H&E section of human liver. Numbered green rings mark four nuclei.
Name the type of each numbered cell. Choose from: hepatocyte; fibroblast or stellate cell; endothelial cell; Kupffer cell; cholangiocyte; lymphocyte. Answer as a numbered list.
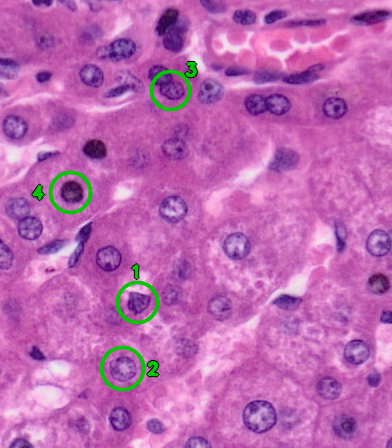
1. endothelial cell
2. hepatocyte
3. cholangiocyte
4. hepatocyte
